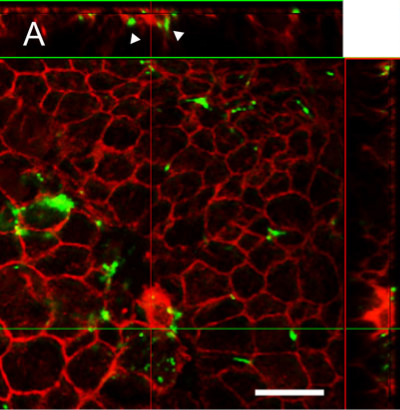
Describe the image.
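The cells are polygonal, many roughly hexagonal, and fit together in a cobblestone pattern, though their size varies, with larger cells toward the lower part of the field. The side-view strips along the top and right edges show the layer as a thin band, with green particles lying within it.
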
